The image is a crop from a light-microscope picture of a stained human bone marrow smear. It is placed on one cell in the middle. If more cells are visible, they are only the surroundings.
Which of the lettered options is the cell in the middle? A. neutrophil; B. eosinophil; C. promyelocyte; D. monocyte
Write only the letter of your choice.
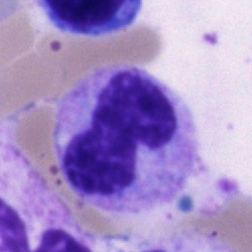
D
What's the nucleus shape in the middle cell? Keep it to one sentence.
What stands out is a nucleus forming one compact round, oval or kidney-shaped mass.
